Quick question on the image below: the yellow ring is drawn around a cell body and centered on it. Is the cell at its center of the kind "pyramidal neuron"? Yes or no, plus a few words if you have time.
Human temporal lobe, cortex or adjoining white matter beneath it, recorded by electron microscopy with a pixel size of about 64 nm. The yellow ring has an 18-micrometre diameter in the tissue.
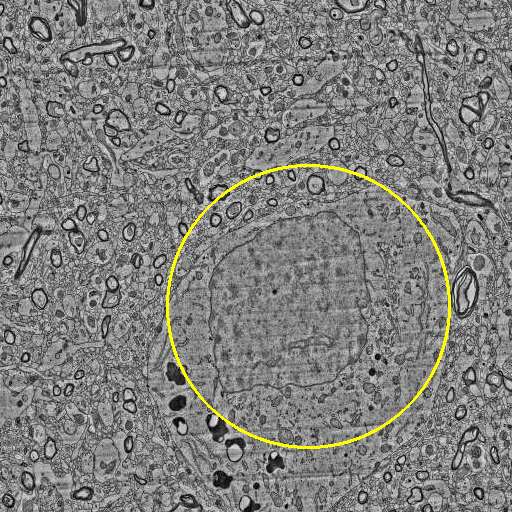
Yes, the cell at the center is of that kind.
